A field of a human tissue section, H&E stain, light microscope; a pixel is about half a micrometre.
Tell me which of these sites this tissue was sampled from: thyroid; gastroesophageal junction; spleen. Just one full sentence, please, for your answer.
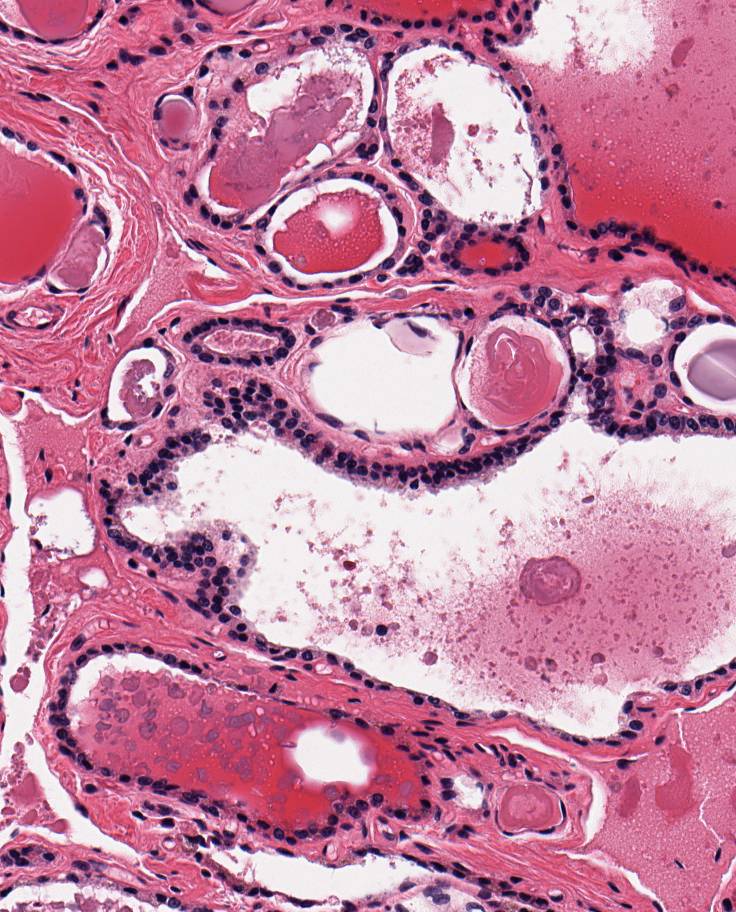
Tissue for this slide was taken from the thyroid.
